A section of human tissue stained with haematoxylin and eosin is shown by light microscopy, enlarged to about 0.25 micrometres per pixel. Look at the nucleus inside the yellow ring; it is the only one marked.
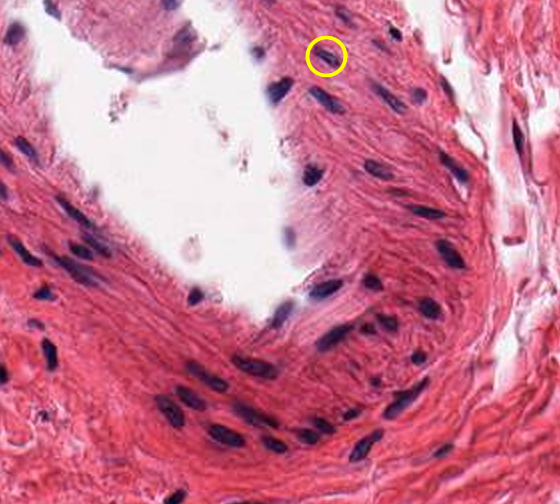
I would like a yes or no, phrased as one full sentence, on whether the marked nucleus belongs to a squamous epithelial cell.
No, the marked nucleus does not form part of a squamous epithelial cell.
